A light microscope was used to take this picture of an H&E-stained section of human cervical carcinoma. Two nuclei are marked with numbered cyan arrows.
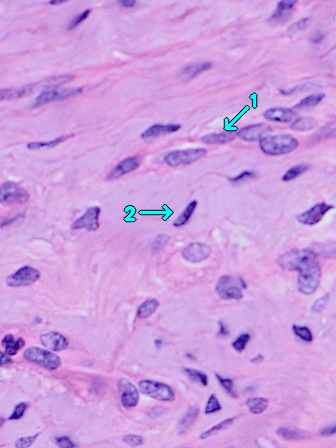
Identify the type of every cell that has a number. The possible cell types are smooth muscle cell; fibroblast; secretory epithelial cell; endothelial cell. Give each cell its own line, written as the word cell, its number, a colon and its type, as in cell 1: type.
cell 1: endothelial cell
cell 2: fibroblast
